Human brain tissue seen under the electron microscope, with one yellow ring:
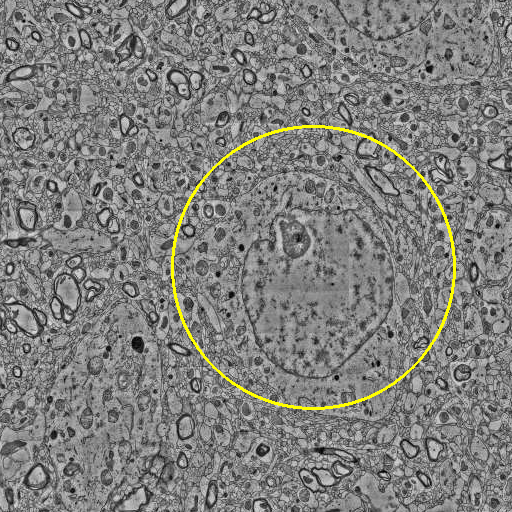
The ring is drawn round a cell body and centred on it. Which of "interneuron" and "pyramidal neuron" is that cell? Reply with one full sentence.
The picture shows a pyramidal neuron at the very centre of the yellow ring.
